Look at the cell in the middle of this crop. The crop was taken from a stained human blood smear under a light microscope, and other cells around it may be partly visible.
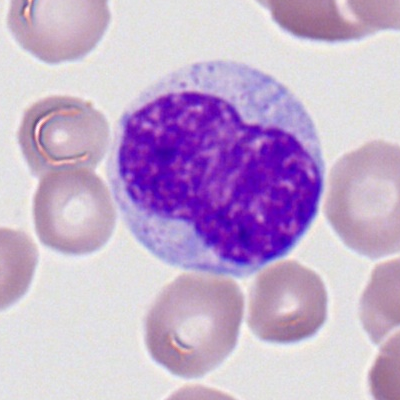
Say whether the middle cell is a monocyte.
yes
